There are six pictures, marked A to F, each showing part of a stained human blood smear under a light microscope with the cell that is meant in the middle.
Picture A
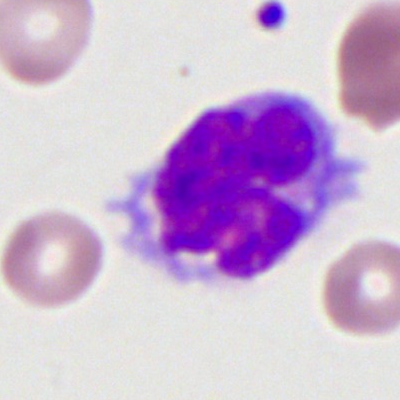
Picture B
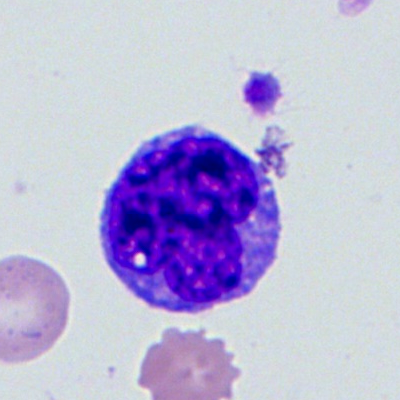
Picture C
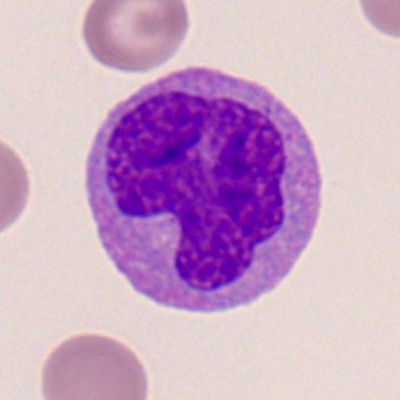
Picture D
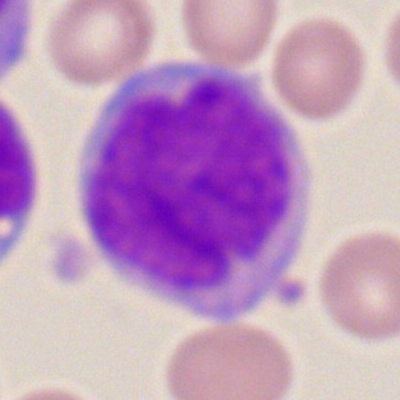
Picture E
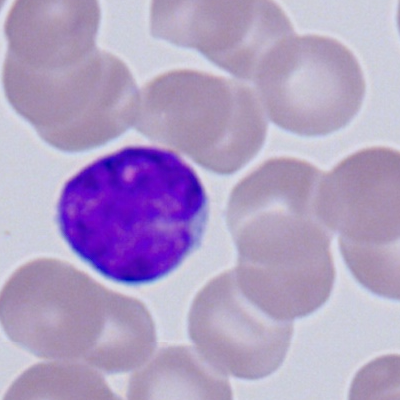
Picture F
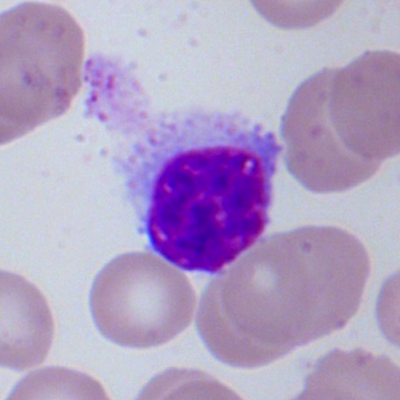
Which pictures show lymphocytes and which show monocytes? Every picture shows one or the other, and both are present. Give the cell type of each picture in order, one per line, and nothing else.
monocyte
monocyte
monocyte
monocyte
lymphocyte
lymphocyte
